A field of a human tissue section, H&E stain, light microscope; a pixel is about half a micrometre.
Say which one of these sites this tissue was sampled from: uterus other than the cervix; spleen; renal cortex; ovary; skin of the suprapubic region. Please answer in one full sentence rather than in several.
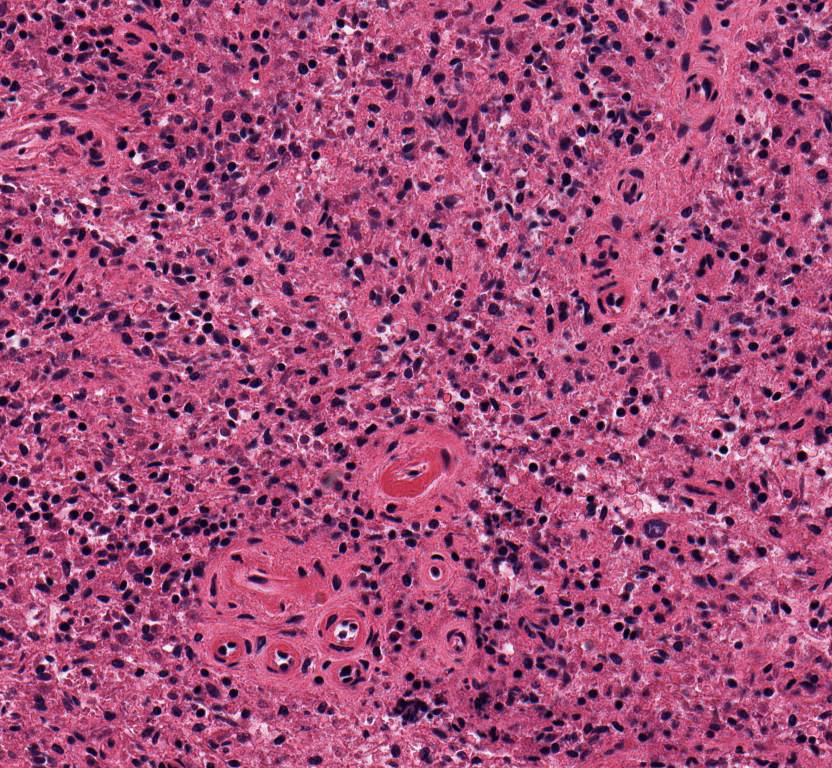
A sample from the spleen makes up this section.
